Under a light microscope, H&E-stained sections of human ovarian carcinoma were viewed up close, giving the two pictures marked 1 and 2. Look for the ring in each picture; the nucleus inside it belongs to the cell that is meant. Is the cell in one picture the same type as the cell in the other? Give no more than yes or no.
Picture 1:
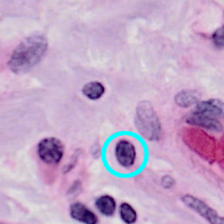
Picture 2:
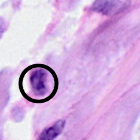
no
